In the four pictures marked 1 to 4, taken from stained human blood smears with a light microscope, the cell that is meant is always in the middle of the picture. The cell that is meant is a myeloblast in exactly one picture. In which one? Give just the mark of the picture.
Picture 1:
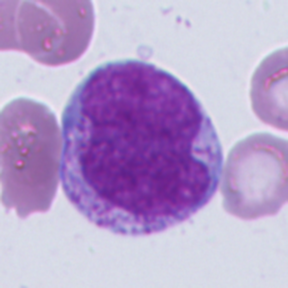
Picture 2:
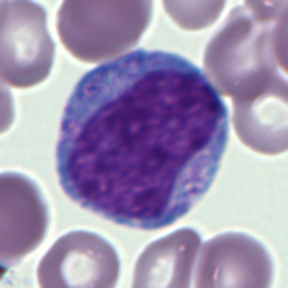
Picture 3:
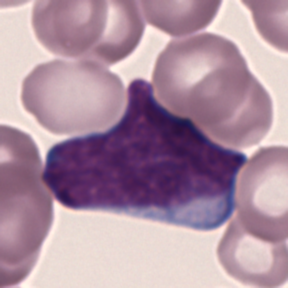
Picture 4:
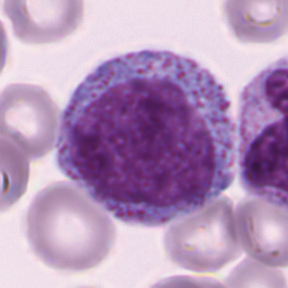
3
